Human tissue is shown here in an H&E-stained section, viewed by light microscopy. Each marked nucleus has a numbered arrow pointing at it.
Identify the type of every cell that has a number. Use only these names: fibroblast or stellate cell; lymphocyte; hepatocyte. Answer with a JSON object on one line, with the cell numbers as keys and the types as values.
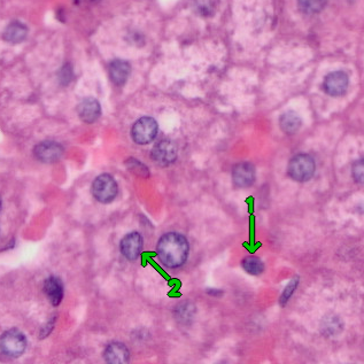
{"1": "lymphocyte", "2": "hepatocyte"}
